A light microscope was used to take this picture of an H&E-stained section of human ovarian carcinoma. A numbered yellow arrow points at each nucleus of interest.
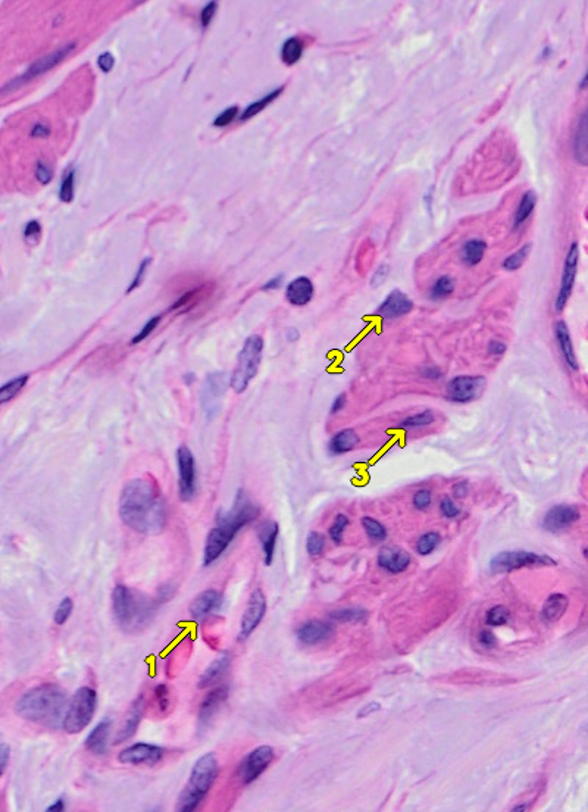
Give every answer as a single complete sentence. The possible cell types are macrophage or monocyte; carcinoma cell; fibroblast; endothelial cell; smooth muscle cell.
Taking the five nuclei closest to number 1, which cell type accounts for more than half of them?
The majority of the five nuclei closest to number 1 belong to endothelial cells.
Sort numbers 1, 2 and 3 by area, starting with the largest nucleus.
By area, largest first, they run 1, 2, 3.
